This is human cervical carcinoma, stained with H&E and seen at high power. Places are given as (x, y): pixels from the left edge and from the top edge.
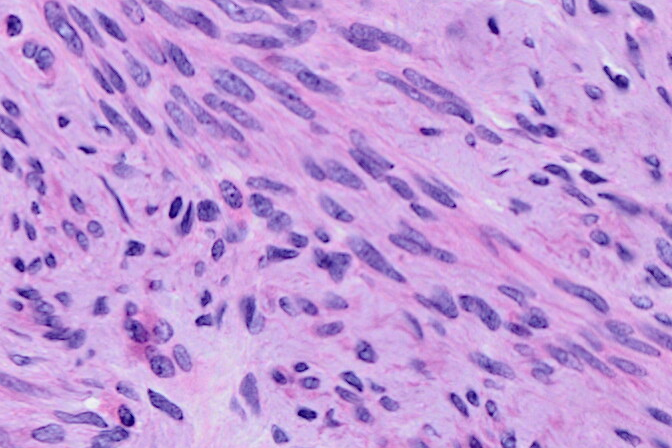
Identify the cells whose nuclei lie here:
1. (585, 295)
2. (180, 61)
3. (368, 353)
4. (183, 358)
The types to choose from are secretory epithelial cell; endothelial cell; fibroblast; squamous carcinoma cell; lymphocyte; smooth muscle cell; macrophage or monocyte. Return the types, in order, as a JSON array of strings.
["smooth muscle cell", "smooth muscle cell", "smooth muscle cell", "endothelial cell"]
